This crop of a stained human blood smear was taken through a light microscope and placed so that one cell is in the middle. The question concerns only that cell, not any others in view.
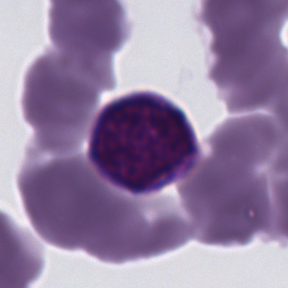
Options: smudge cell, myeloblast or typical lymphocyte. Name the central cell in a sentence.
Classification of the middle cell gives a myeloblast.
